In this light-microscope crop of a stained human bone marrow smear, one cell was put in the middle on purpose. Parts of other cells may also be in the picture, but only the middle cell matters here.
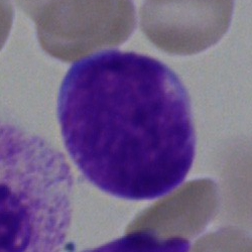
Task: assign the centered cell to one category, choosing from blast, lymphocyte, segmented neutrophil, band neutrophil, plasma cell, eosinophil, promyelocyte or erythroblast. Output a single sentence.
The cell at the central position in this crop is a blast.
